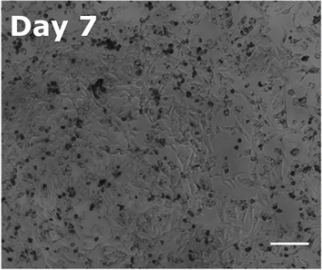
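A cultured cell layer is seen in phase contrast, made up of many flattened, spread and elongated cells lying side by side. Small round dark cells are scattered over the layer, and a few dark irregular clumps stand out.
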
